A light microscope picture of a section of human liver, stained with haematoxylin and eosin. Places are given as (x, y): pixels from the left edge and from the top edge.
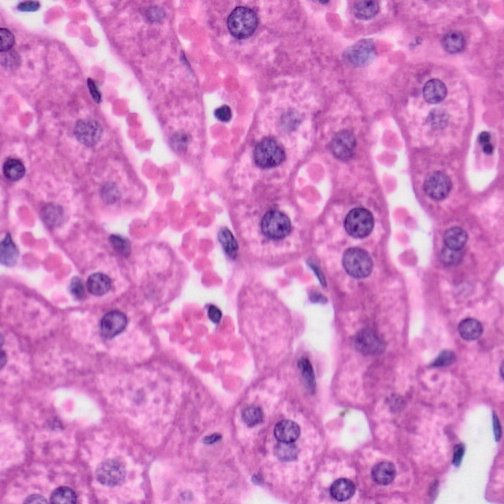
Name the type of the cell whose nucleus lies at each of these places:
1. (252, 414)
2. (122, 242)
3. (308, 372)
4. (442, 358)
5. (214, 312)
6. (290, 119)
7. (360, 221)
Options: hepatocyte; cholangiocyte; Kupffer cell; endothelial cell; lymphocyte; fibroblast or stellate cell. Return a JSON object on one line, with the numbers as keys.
{"1": "hepatocyte", "2": "endothelial cell", "3": "Kupffer cell", "4": "endothelial cell", "5": "lymphocyte", "6": "hepatocyte", "7": "hepatocyte"}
